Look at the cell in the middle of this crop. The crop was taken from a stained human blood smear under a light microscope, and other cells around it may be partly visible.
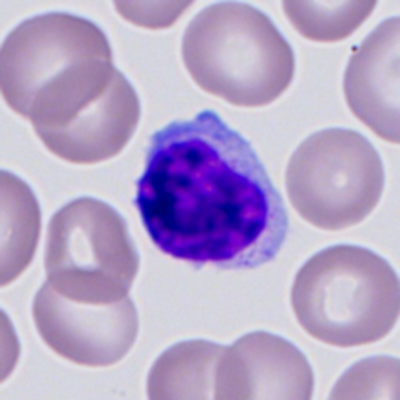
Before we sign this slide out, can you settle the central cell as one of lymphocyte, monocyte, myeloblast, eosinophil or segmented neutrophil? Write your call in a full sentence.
Occupying the centre of the crop is a lymphocyte.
